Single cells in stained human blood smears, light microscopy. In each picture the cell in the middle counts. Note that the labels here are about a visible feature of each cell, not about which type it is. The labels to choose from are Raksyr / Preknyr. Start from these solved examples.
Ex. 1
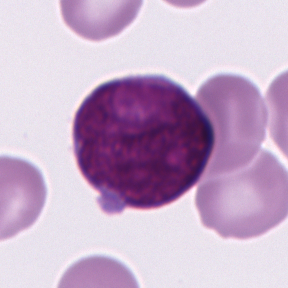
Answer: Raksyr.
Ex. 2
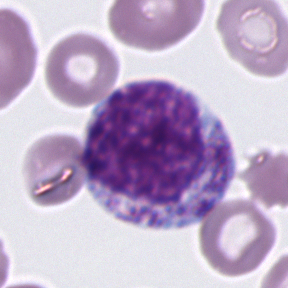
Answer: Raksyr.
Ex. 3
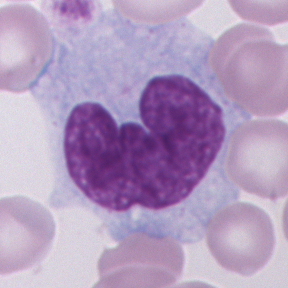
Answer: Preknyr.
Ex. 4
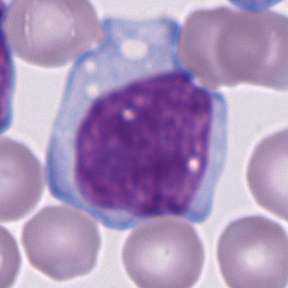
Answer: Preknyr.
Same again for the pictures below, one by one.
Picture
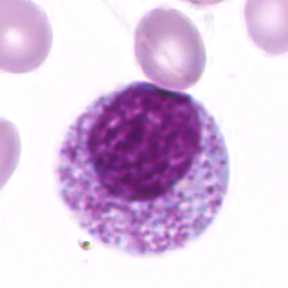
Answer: Preknyr.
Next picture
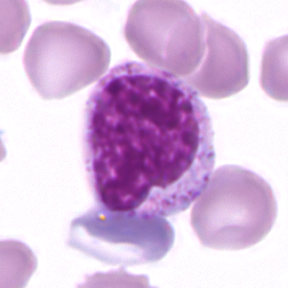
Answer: Raksyr.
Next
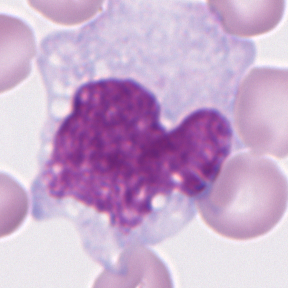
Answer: Preknyr.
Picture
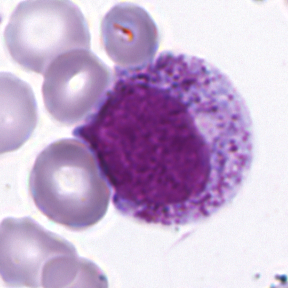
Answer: Preknyr.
